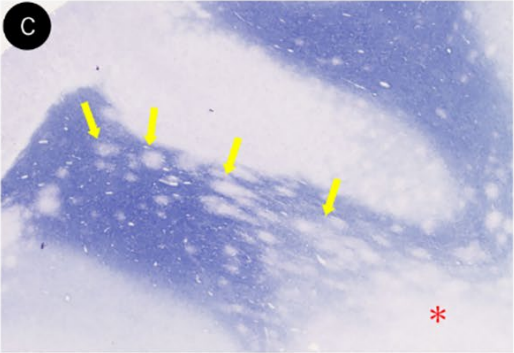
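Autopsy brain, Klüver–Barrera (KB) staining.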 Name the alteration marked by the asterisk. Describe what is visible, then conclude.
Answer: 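A broad area at the lower right has lost the blue stain and appears pale. Smaller pale foci merge into this pale area.
Conclusion: large demyelinating plaques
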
